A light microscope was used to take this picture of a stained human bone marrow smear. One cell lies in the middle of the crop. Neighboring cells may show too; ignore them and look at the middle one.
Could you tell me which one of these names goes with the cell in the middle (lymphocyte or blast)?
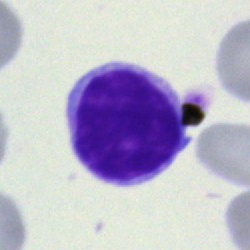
lymphocyte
